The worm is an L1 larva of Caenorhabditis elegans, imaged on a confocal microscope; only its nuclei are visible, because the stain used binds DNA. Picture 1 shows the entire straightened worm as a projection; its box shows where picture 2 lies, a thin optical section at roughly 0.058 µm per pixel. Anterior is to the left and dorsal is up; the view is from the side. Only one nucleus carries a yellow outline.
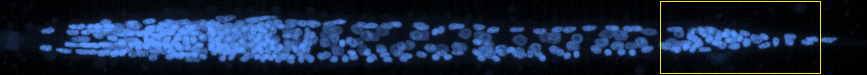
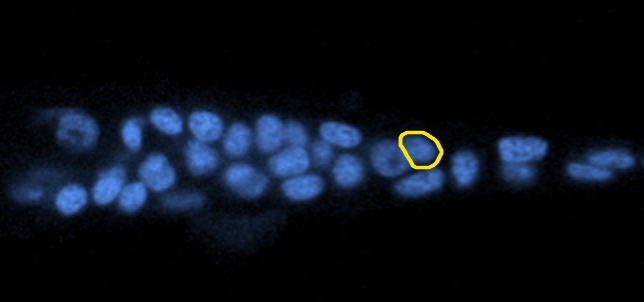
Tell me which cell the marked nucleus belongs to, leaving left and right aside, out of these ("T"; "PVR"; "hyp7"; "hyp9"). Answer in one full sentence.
This is the nucleus of PVR, a neuron.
